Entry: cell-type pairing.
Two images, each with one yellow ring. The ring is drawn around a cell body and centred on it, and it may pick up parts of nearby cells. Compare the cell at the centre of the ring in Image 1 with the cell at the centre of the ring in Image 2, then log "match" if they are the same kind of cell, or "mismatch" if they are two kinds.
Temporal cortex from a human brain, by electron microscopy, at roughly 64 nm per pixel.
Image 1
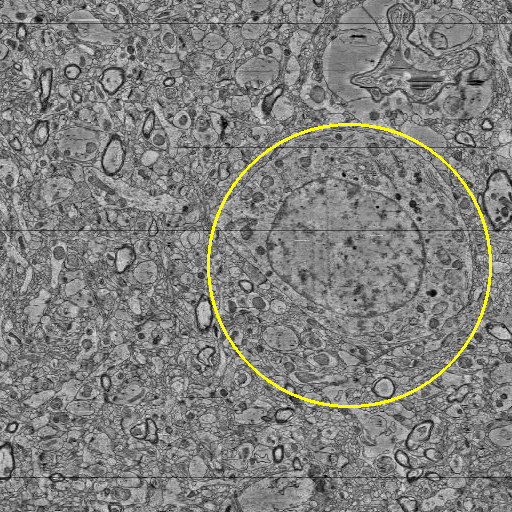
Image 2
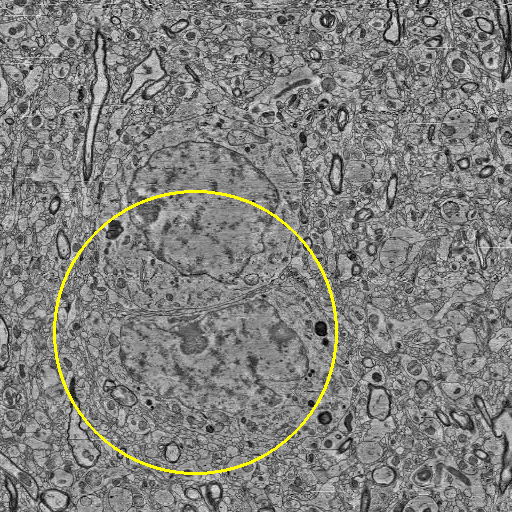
match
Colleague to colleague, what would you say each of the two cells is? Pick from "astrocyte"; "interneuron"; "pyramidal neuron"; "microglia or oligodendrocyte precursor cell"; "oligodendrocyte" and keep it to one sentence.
Each of the two cells is an interneuron.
